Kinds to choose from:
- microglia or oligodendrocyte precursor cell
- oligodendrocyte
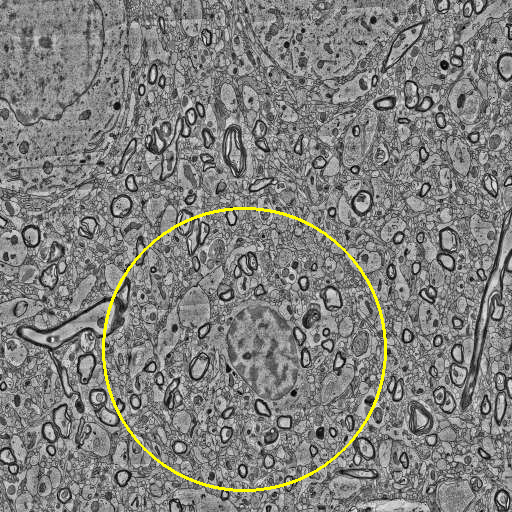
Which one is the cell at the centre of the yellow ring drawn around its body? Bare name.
oligodendrocyte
